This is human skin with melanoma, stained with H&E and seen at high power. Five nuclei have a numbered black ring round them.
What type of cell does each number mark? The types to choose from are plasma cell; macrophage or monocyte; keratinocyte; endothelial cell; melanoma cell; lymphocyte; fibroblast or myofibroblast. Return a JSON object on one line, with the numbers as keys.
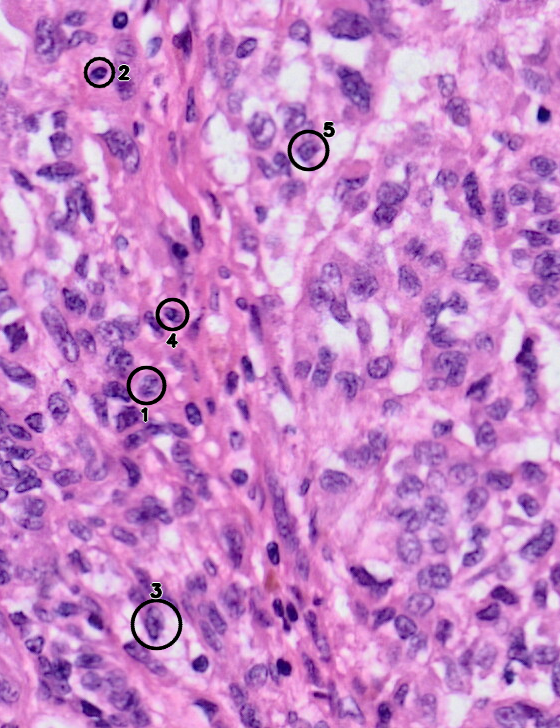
{"1": "melanoma cell", "2": "lymphocyte", "3": "melanoma cell", "4": "lymphocyte", "5": "melanoma cell"}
